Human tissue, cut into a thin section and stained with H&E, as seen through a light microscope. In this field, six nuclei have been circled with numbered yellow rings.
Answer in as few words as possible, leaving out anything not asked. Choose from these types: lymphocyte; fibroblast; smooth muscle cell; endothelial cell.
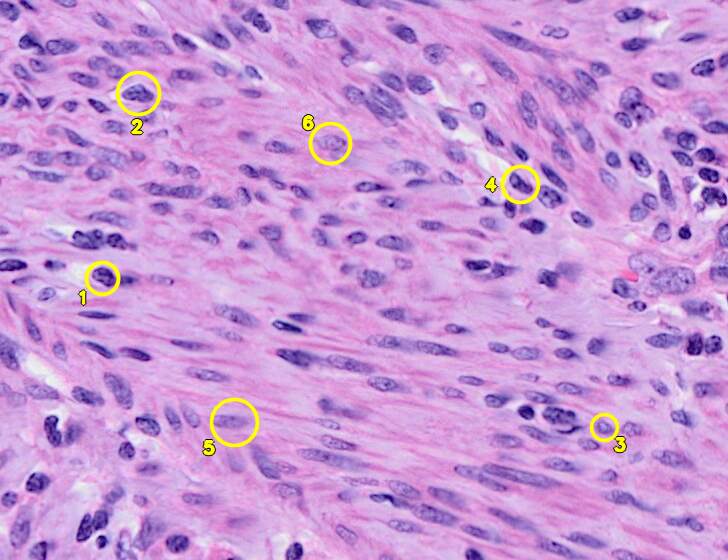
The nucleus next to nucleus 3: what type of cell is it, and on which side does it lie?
a smooth muscle cell below and to the left of nucleus 3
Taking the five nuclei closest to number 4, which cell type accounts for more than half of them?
lymphocyte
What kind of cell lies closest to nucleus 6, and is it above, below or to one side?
a smooth muscle cell; below and to the right of nucleus 6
